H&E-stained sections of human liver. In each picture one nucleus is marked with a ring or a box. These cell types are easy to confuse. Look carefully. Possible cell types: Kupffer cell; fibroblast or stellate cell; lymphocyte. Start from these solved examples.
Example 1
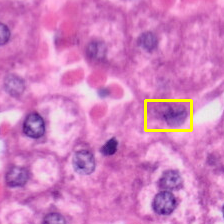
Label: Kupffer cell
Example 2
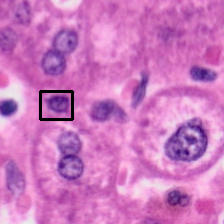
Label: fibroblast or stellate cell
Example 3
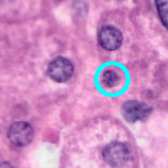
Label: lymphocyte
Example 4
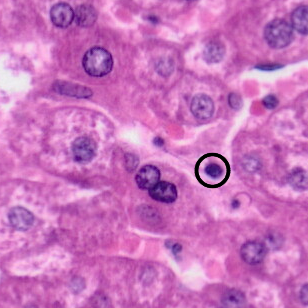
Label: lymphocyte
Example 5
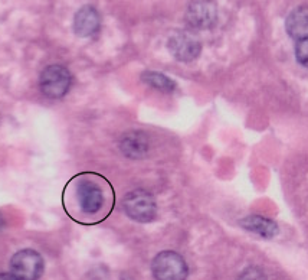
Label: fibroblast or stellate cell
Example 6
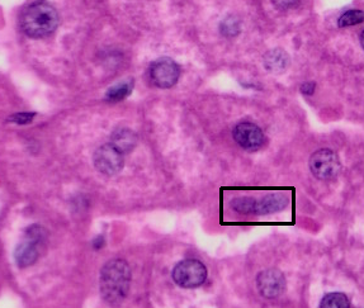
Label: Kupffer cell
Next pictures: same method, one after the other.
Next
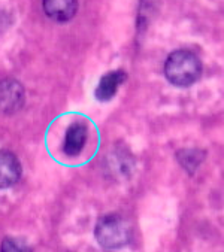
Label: lymphocyte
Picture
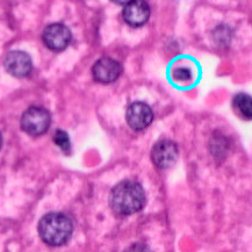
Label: lymphocyte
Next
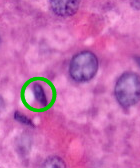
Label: fibroblast or stellate cell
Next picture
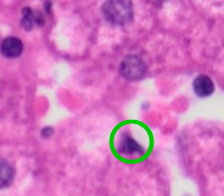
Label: fibroblast or stellate cell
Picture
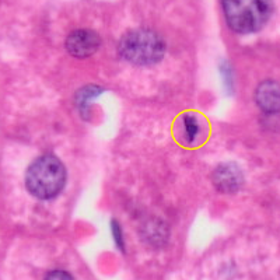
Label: fibroblast or stellate cell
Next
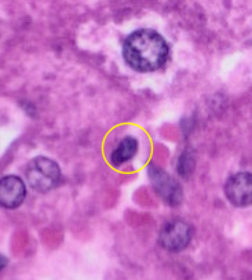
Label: lymphocyte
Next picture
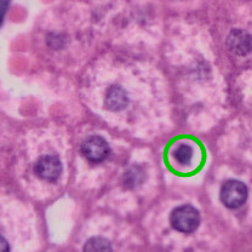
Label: lymphocyte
